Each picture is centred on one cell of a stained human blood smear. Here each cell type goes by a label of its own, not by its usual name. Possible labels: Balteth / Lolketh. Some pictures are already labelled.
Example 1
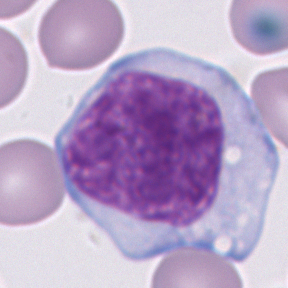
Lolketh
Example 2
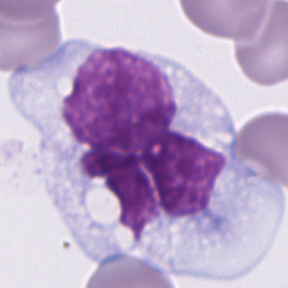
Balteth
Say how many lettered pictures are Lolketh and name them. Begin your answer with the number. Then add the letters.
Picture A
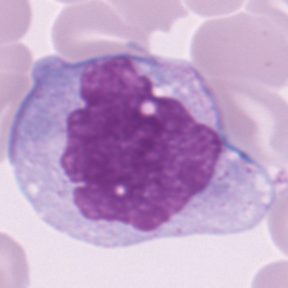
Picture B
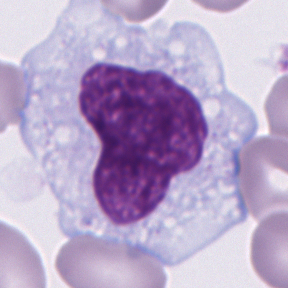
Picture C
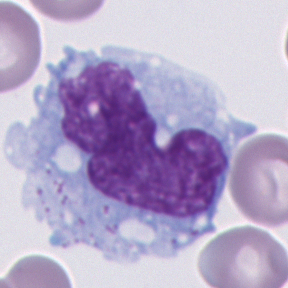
0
